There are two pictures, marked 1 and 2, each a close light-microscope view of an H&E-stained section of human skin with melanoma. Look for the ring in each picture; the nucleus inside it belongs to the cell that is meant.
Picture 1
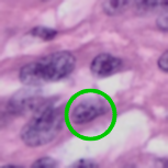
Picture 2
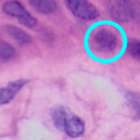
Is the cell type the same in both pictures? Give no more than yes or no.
no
